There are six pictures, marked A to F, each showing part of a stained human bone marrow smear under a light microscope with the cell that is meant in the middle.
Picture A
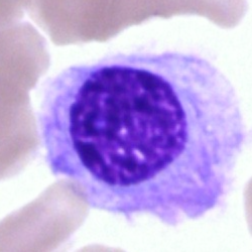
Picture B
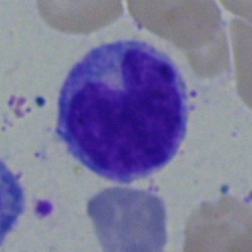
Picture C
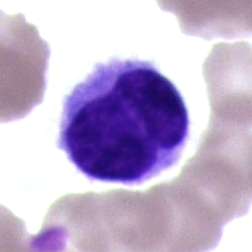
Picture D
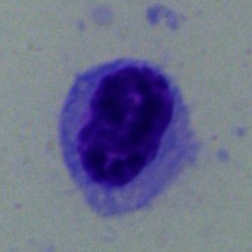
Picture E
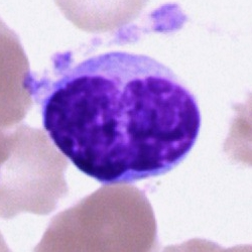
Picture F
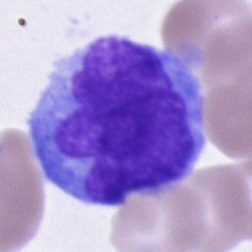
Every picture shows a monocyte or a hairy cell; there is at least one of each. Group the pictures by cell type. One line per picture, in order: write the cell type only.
hairy cell
monocyte
hairy cell
hairy cell
hairy cell
monocyte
